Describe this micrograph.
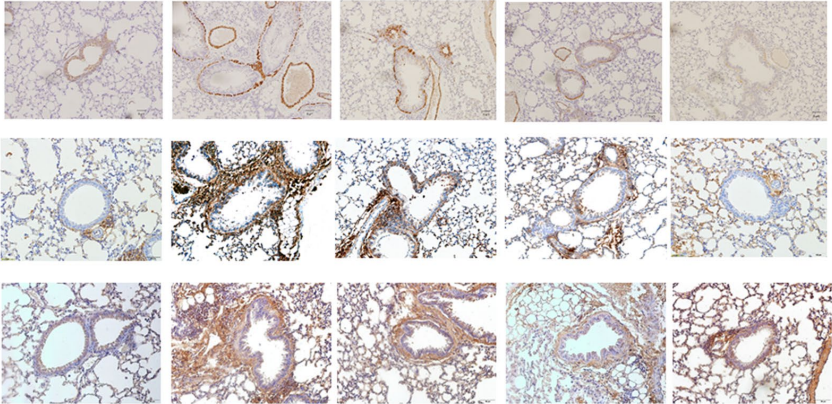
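Each small image shows a cross-cut airway with an open lumen, set among many thin-walled air spaces whose septa carry blue-stained nuclei. In several images a brown stain forms a ring around the airway wall and lies in the tissue beside it, and the intensity of this brown stain differs from image to image. This is lung tissue with bronchioles and the alveolar tissue around them.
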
